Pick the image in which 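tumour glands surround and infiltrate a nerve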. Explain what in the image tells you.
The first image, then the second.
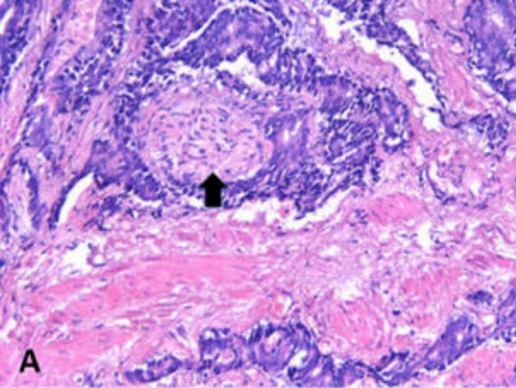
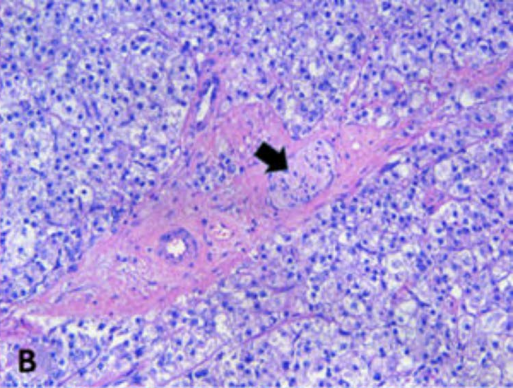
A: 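First image: a nerve bundle is ringed closely by dark tumour epithelium.
The first image.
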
